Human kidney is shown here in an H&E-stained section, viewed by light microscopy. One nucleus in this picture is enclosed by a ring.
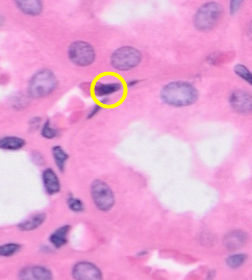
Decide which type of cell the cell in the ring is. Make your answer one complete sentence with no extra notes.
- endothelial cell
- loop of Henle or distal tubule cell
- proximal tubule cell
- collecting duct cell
In the tissue at hand, the cell in the ring is an endothelial cell.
